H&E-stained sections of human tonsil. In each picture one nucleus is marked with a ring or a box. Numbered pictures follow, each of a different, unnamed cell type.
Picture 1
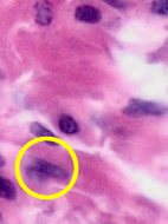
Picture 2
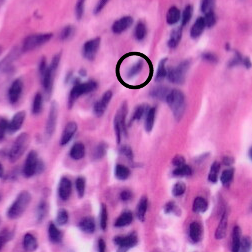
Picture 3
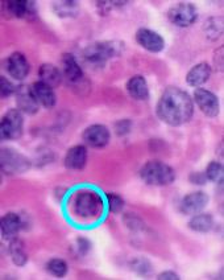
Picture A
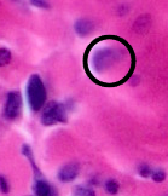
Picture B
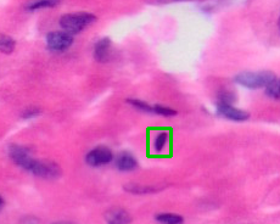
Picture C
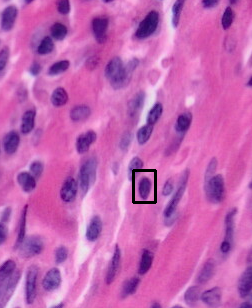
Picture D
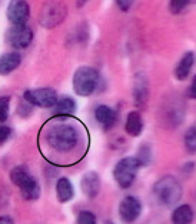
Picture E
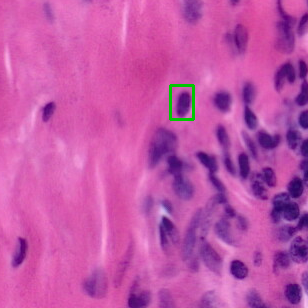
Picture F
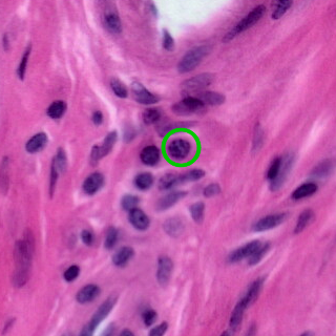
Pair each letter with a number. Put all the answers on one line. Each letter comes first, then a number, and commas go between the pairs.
A 1, B 2, C 2, D 3, E 2, F 3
